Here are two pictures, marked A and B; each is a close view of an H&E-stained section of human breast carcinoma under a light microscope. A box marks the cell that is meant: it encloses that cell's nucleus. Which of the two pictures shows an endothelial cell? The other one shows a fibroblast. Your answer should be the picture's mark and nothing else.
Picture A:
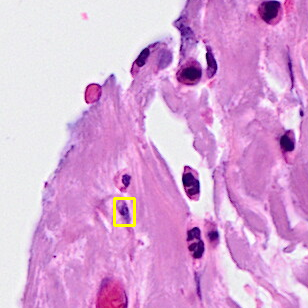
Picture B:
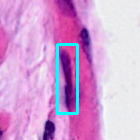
B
